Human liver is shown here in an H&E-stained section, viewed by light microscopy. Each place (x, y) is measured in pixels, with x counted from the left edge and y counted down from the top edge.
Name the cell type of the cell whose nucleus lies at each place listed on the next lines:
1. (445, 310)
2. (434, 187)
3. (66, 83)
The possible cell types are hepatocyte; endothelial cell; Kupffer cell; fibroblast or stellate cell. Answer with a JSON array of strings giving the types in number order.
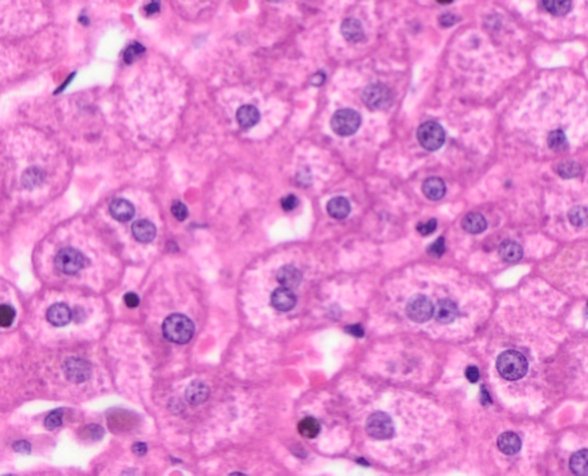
["hepatocyte", "hepatocyte", "endothelial cell"]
